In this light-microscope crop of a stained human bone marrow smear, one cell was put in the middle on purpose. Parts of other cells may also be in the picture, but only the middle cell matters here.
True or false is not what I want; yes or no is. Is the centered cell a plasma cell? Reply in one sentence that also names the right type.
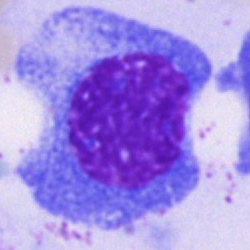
Yes, it is a plasma cell that is seen at the centre of the crop.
